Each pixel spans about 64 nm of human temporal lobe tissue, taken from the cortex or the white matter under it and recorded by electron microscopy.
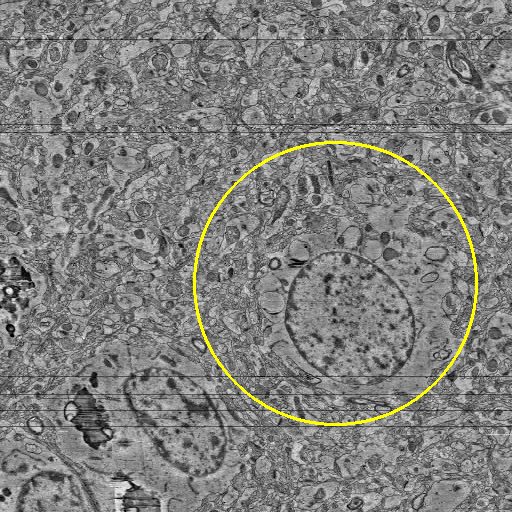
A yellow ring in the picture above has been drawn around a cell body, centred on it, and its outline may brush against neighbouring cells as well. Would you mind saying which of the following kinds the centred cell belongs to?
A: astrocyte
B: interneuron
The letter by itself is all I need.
A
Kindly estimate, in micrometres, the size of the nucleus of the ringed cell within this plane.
In this plane the nucleus is about 9 micrometres by 8.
